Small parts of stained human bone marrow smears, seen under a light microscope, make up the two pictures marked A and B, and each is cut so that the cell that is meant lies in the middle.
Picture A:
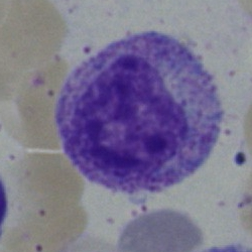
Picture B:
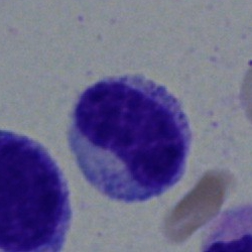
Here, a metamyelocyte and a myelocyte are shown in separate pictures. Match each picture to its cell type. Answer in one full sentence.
In picture A the cell is a myelocyte; in picture B, a metamyelocyte.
